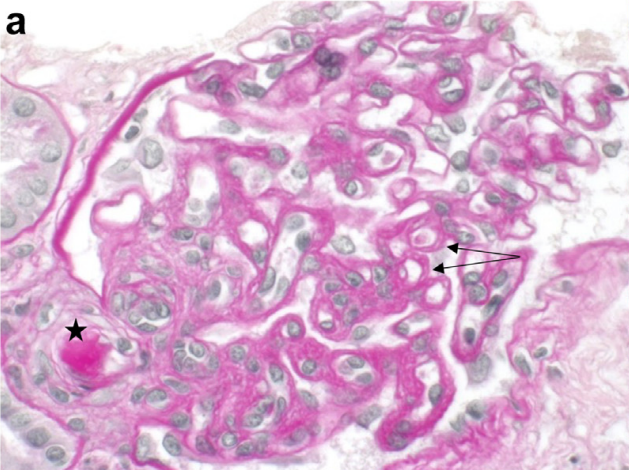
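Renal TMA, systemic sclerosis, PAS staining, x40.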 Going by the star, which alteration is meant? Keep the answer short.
Arteriolar thrombosis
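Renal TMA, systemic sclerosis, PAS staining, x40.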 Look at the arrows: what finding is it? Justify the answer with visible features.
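Double contours. Capillary loop walls at the arrows show two parallel magenta lines instead of one.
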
